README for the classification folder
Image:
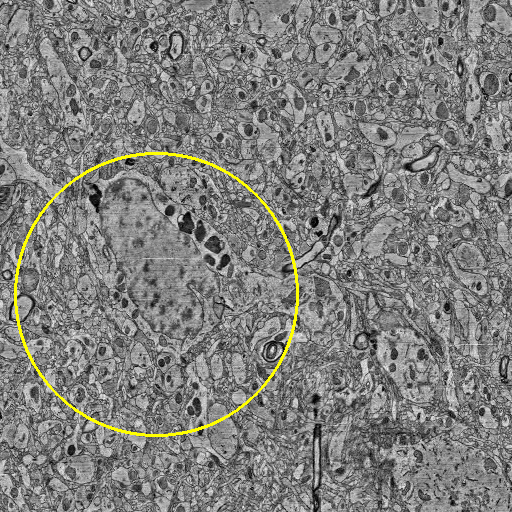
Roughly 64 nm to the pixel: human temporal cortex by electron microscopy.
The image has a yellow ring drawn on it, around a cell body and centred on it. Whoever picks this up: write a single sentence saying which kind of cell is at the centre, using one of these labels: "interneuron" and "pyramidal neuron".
This cell body is that of an interneuron.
